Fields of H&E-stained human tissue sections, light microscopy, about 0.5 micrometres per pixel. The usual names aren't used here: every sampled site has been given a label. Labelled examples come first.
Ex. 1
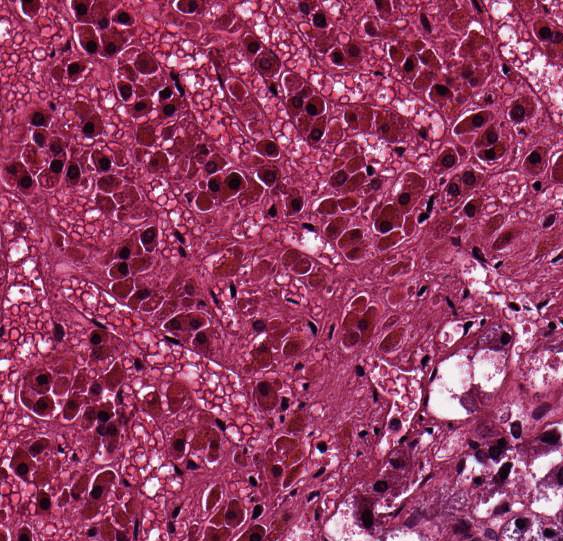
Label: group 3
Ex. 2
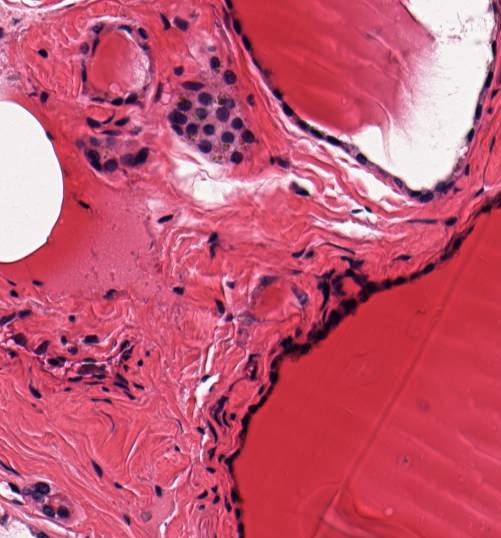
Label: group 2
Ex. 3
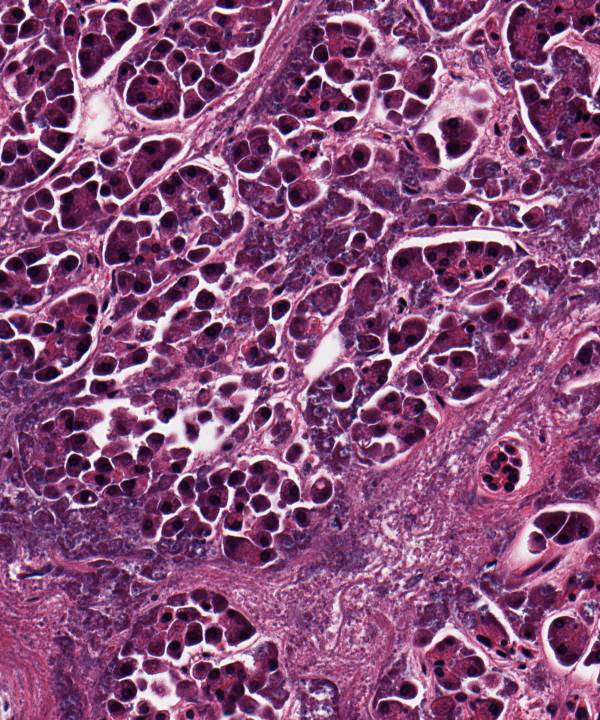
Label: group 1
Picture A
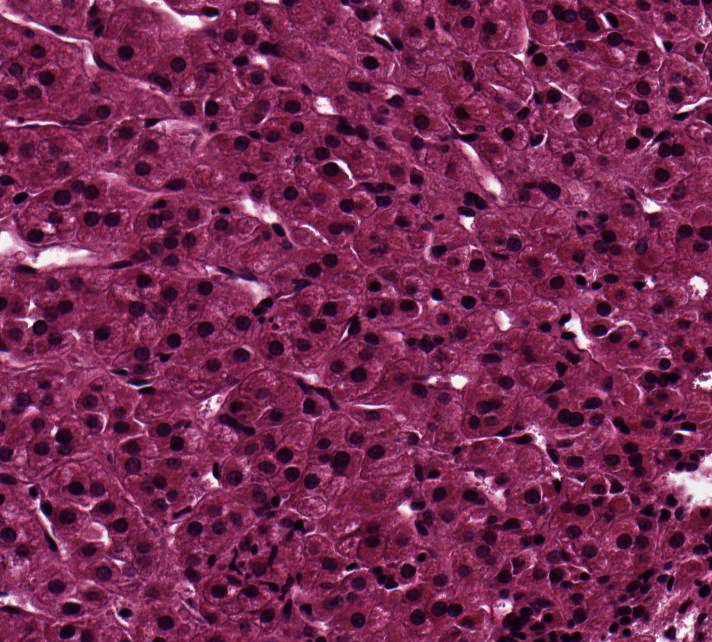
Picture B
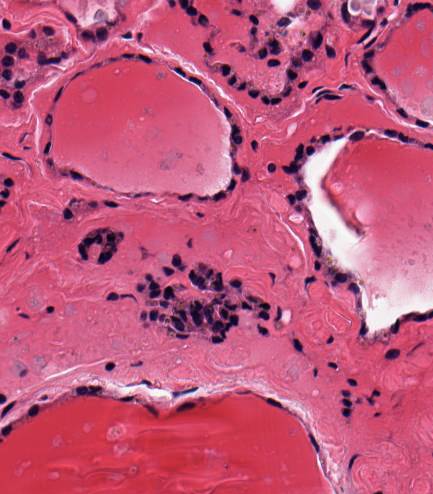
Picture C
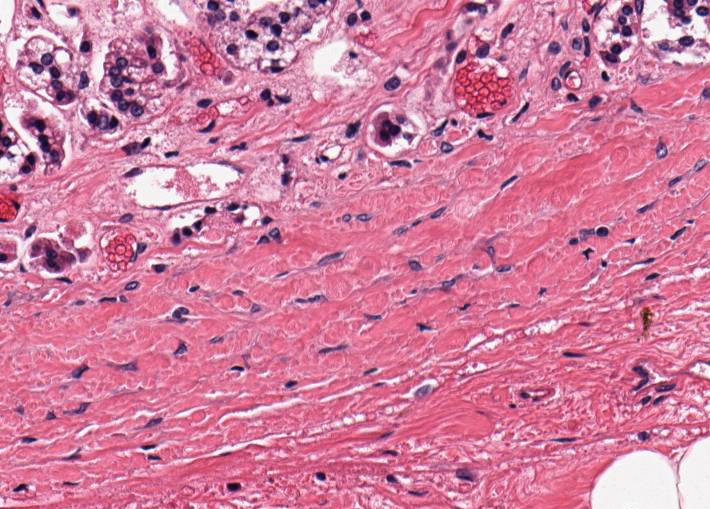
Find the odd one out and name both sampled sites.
Picture B: group 2. All others: group 3.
